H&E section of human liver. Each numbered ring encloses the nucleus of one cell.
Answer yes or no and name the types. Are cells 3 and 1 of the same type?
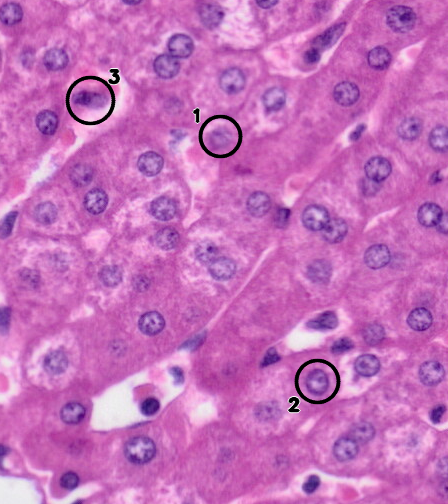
No, hold on, cell 3 is a Kupffer cell and cell 1 is a hepatocyte.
